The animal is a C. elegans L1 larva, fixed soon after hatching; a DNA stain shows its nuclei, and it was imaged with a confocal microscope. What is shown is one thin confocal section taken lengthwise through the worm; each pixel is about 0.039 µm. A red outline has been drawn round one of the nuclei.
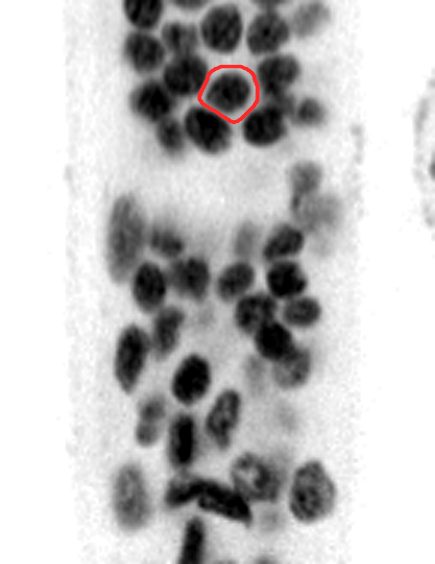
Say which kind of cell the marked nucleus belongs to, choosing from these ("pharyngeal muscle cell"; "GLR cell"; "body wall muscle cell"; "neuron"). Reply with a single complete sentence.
This is the nucleus of a neuron.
